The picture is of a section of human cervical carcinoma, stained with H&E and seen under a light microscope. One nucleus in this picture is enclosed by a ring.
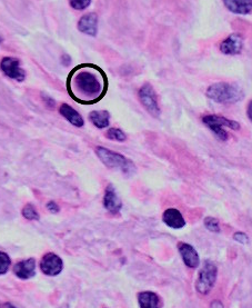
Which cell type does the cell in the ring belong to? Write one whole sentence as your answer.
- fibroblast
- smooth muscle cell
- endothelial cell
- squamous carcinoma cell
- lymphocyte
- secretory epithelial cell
As a matter of cell type, the cell in the ring is a lymphocyte.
